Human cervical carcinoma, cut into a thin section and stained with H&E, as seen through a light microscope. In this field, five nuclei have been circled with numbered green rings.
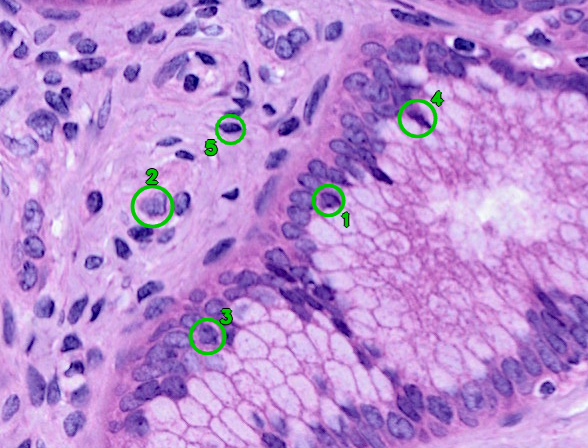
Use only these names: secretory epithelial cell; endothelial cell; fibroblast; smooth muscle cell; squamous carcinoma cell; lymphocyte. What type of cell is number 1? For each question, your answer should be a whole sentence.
In the marked set, the cell given number 1 is a secretory epithelial cell.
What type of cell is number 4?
What the number 4 marks in this field is a secretory epithelial cell.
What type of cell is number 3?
The nucleus labeled 3 belongs to a secretory epithelial cell.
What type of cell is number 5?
The cell referred to as 5 is a fibroblast.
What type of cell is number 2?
The cell pointed out by number 2 is an endothelial cell.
